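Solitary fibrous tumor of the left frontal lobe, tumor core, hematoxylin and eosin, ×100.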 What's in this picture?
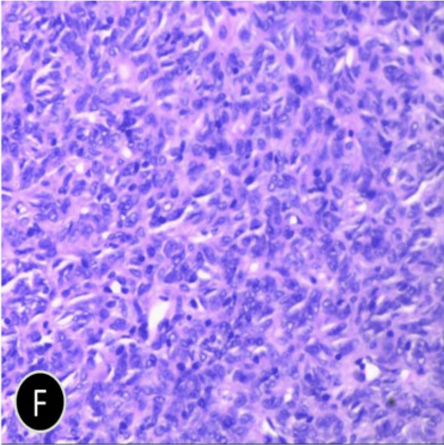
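The nuclei are purple-blue and oval to somewhat elongated, packed closely side by side without forming glands or distinct layers. The cytoplasm is scant and pale pink, with cell borders that are hard to make out. A few small, clear, slit-like or round spaces are scattered among the cells.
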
